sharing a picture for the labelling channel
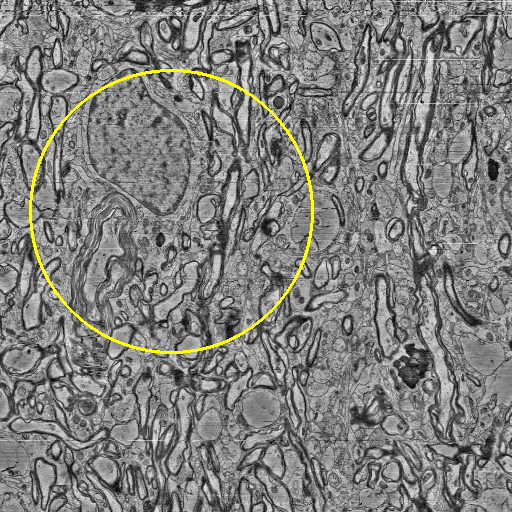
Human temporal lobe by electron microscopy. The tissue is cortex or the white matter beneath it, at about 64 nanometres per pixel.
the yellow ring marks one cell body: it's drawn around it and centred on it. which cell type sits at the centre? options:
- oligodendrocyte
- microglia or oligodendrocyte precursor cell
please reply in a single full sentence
In the picture, the cell at the ring's centre is a microglial cell or oligodendrocyte precursor cell, going by the list.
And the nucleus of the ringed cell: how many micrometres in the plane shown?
In this plane, the nucleus is roughly 10 by 6 micrometres.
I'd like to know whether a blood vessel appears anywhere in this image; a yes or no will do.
No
